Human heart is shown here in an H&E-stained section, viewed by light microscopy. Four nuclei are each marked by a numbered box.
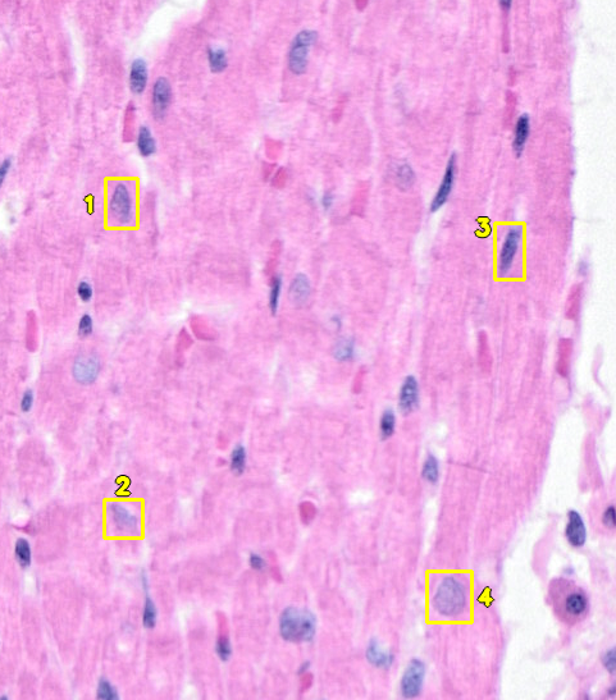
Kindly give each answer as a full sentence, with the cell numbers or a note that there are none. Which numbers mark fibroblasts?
With respect to the numbered cells, none are fibroblasts.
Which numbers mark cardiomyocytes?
In this section, the cells labelled 1, 2 and 4 are cardiomyocytes.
